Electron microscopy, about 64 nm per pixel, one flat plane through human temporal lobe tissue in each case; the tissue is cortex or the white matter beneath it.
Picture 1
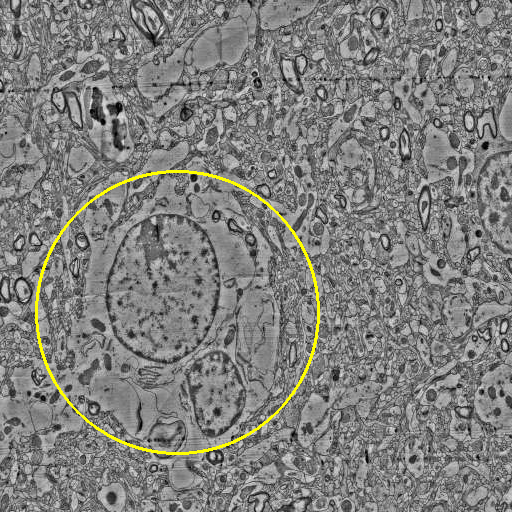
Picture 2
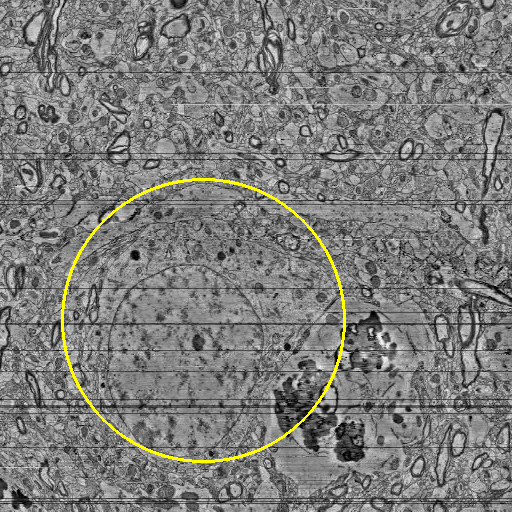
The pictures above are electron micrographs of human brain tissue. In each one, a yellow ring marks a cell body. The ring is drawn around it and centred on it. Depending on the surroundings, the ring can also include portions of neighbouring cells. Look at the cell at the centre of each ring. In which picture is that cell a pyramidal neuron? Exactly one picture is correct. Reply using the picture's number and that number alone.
2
